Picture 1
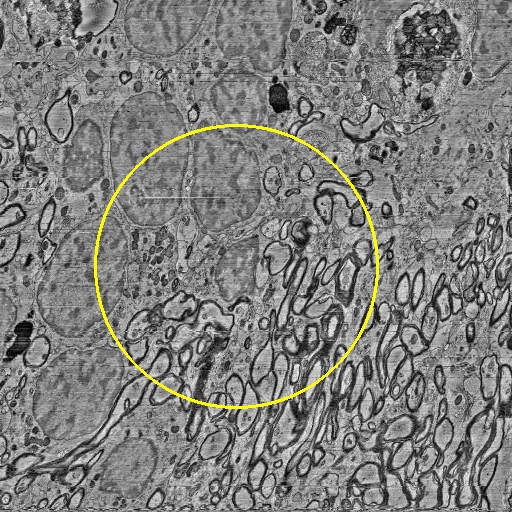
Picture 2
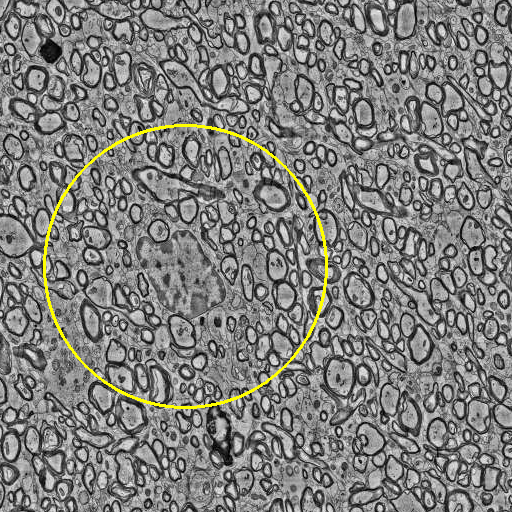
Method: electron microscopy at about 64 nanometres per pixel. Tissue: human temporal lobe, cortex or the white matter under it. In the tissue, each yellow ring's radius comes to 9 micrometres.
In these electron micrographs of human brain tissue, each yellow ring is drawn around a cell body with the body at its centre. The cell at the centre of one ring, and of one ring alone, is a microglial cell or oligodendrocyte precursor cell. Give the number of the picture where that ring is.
2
